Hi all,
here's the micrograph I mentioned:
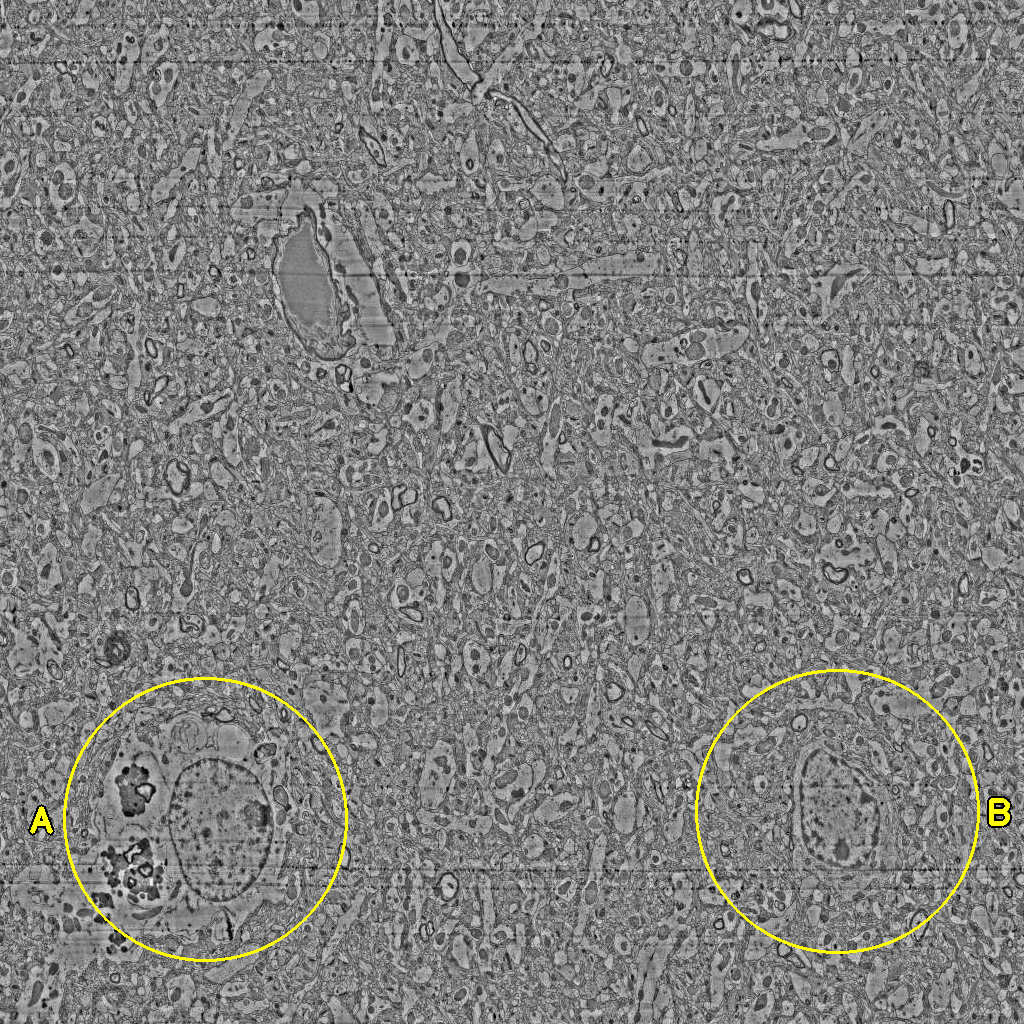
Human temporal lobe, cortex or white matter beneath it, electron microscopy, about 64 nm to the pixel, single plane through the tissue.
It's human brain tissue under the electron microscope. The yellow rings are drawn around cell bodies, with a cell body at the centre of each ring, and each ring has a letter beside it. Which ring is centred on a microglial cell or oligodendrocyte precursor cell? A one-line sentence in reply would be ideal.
It's the one labelled B.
